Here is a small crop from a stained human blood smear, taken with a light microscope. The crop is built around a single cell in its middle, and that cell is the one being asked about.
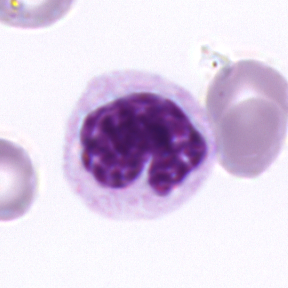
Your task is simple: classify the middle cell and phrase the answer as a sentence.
This crop has a band neutrophil at its centre.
